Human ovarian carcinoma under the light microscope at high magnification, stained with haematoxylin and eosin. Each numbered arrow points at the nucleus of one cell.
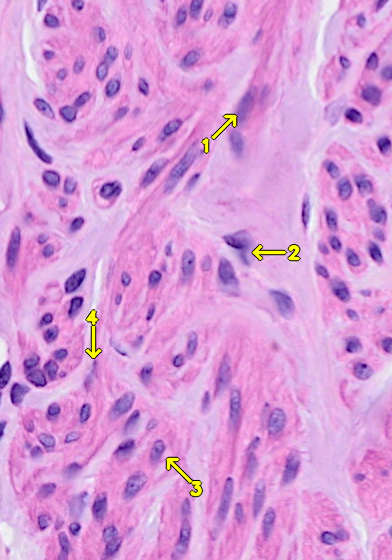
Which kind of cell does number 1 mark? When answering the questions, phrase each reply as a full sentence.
Of the numbered cells, the one labelled 1 is a smooth muscle cell.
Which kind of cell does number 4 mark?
As for number 4, that cell is a smooth muscle cell.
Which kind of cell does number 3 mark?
The cell assigned the number 3 is a smooth muscle cell.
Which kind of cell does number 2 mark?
Marked with the number 2, this cell is a fibroblast.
